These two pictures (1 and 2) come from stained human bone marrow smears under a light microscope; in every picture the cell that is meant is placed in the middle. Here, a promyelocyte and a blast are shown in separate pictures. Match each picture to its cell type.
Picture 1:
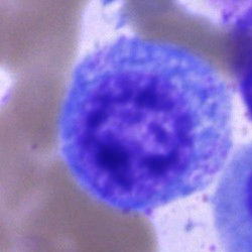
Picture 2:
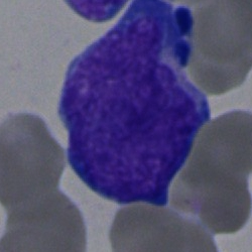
1: promyelocyte
2: blast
